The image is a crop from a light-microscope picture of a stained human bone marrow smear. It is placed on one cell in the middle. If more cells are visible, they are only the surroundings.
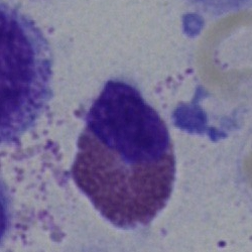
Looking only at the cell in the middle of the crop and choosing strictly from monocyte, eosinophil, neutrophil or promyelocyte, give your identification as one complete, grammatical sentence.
Centrally within this crop lies an eosinophil.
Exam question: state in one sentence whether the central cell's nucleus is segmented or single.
Just one compact nuclear mass here, round, oval or kidney-shaped.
